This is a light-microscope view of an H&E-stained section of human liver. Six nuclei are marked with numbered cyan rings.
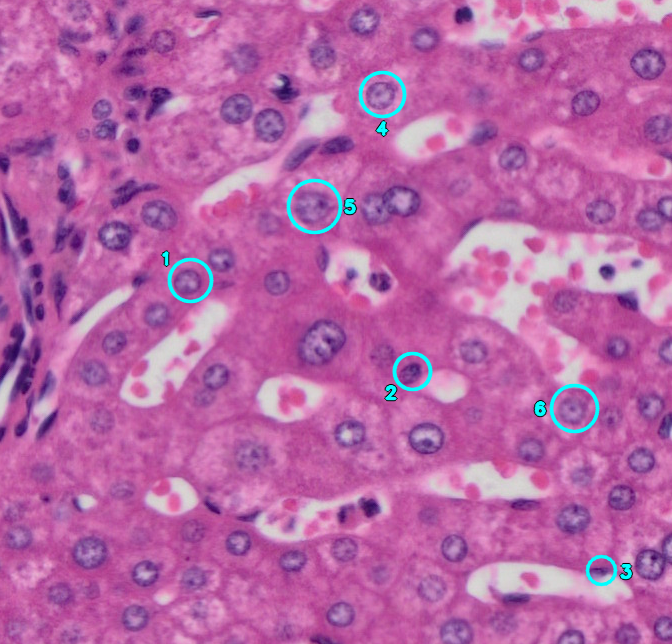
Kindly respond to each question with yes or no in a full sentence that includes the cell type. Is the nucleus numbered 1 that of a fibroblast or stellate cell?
No, cell 1 represents a hepatocyte rather than a fibroblast or stellate cell.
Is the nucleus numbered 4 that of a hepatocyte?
Yes, the cell that the number 4 labels is a hepatocyte.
